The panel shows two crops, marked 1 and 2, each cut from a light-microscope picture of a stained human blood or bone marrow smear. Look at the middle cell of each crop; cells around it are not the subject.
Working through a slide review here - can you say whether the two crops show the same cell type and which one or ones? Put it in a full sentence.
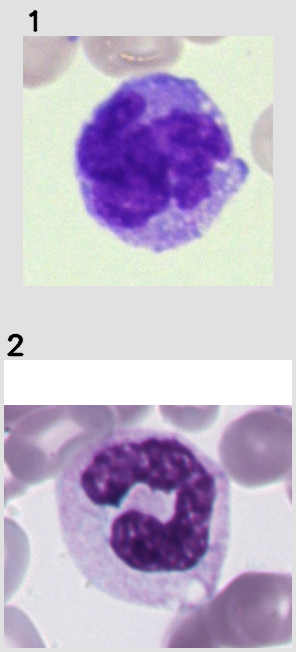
No, crop 1 displays a monocyte and crop 2 displays a band neutrophil.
